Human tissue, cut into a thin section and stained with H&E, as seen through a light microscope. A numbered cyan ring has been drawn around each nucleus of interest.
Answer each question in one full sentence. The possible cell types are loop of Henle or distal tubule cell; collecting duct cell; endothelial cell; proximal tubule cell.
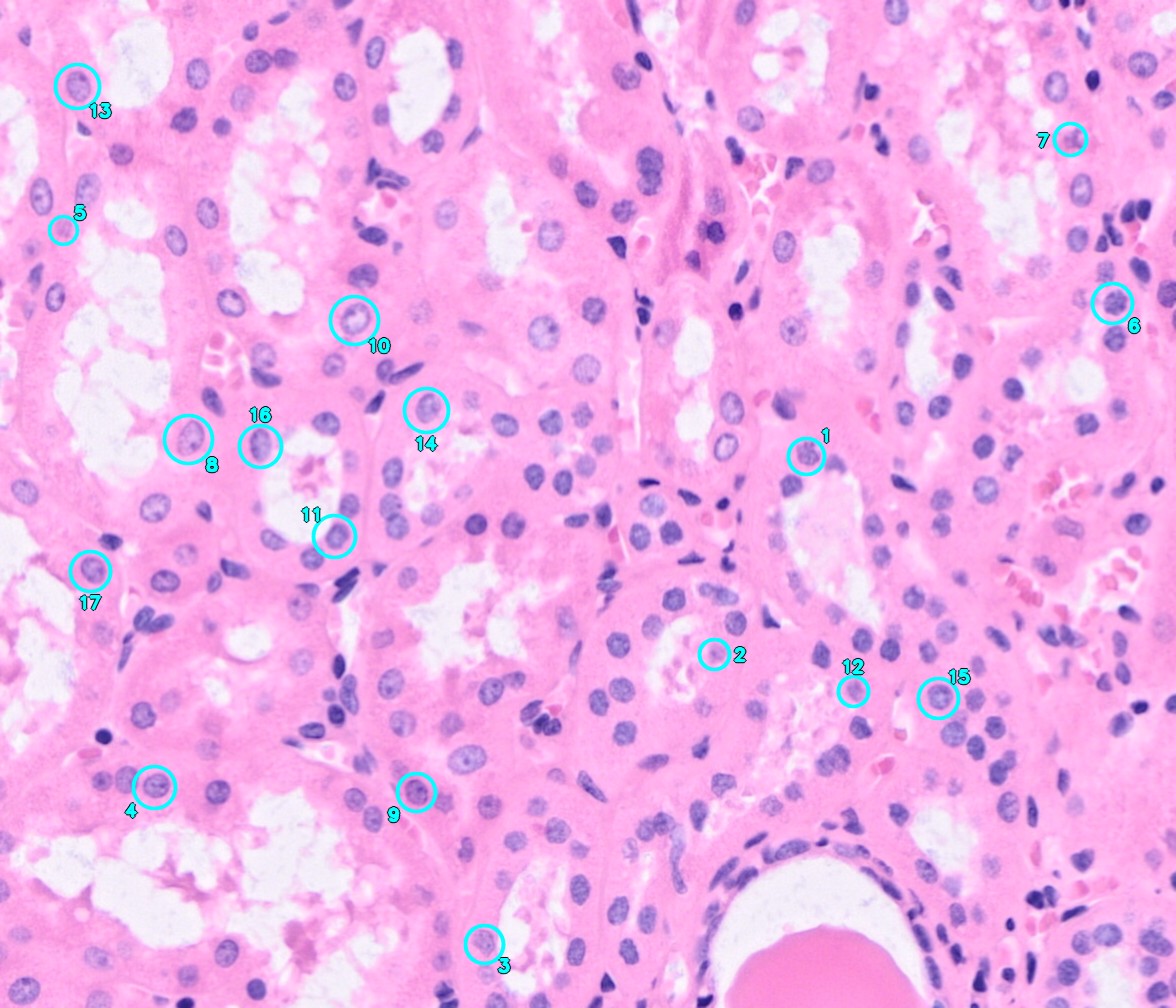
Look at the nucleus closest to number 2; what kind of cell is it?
The nucleus nearest to number 2 is that of a loop of Henle or distal tubule cell.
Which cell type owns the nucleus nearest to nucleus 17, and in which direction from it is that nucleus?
It is an endothelial cell, whose nucleus lies above and to the right of nucleus 17.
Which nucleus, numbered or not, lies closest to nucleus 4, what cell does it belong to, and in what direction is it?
A proximal tubule cell lies closest, to the left of nucleus 4.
